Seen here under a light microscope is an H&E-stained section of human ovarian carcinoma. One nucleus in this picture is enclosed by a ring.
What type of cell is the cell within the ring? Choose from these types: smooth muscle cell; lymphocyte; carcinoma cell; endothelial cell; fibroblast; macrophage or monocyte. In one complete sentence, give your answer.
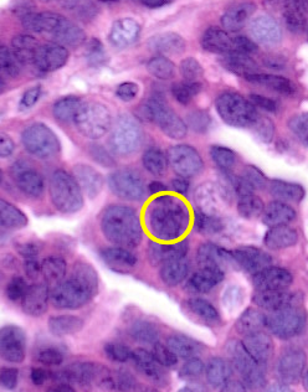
The identity of the cell within the ring is that of a carcinoma cell.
